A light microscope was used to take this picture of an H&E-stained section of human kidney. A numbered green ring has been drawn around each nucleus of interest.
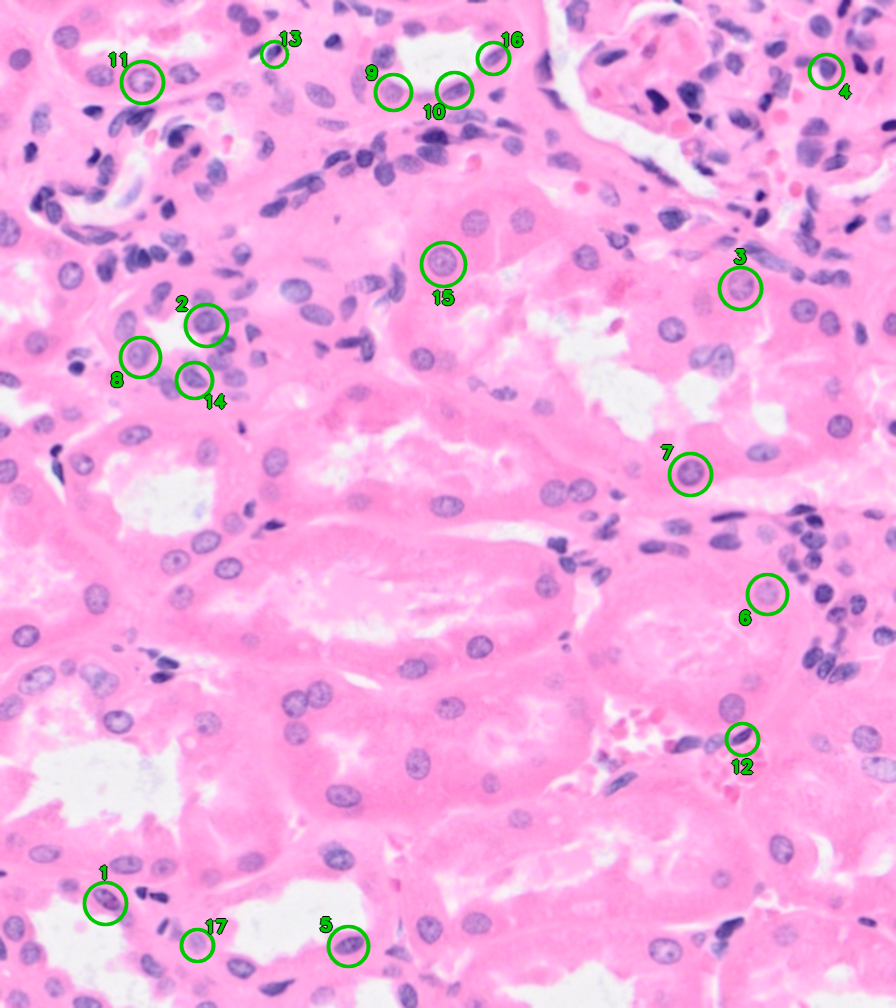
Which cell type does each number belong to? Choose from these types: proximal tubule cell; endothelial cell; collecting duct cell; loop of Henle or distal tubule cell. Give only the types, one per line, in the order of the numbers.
loop of Henle or distal tubule cell
collecting duct cell
proximal tubule cell
endothelial cell
loop of Henle or distal tubule cell
proximal tubule cell
proximal tubule cell
collecting duct cell
loop of Henle or distal tubule cell
loop of Henle or distal tubule cell
proximal tubule cell
endothelial cell
endothelial cell
collecting duct cell
proximal tubule cell
loop of Henle or distal tubule cell
loop of Henle or distal tubule cell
